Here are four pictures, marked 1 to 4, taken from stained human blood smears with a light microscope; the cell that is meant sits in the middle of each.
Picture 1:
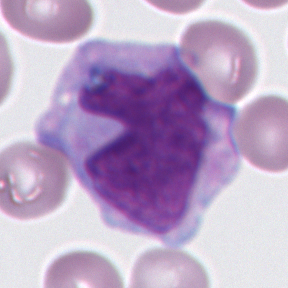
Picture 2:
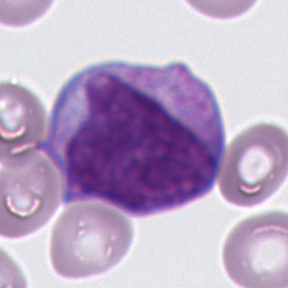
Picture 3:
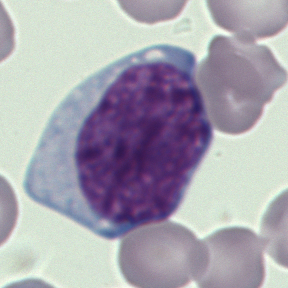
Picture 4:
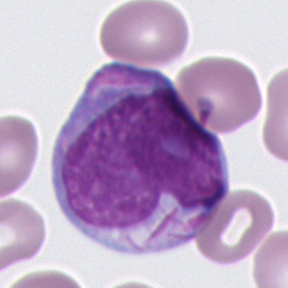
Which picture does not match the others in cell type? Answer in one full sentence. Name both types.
The different one is picture 3; it shows a myeloblast, whereas all the others show atypical promyelocytes.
